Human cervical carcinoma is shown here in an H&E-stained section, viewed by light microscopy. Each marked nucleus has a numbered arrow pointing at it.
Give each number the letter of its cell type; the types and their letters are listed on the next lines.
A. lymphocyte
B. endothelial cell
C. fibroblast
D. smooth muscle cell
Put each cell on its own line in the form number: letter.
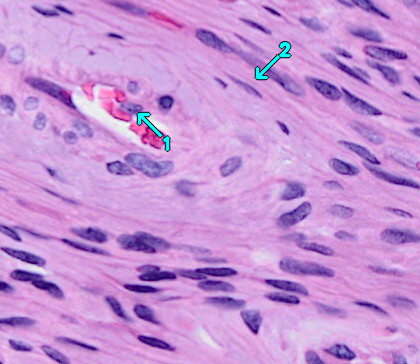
1: B
2: C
